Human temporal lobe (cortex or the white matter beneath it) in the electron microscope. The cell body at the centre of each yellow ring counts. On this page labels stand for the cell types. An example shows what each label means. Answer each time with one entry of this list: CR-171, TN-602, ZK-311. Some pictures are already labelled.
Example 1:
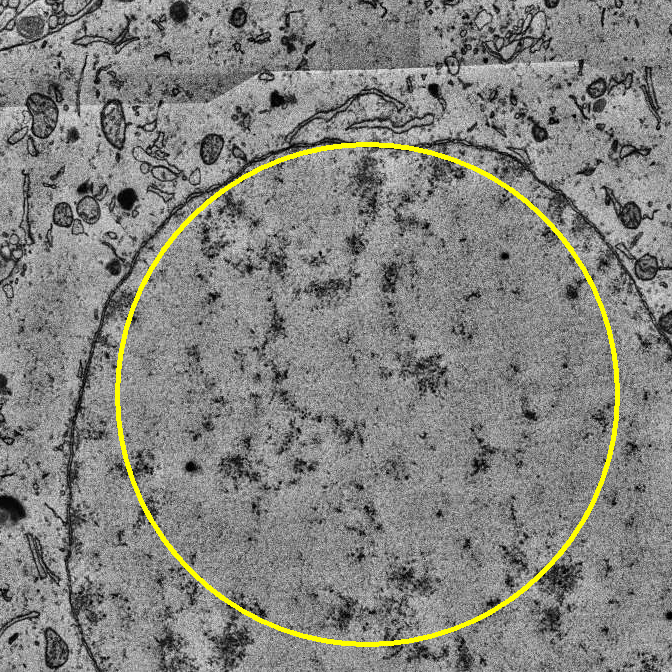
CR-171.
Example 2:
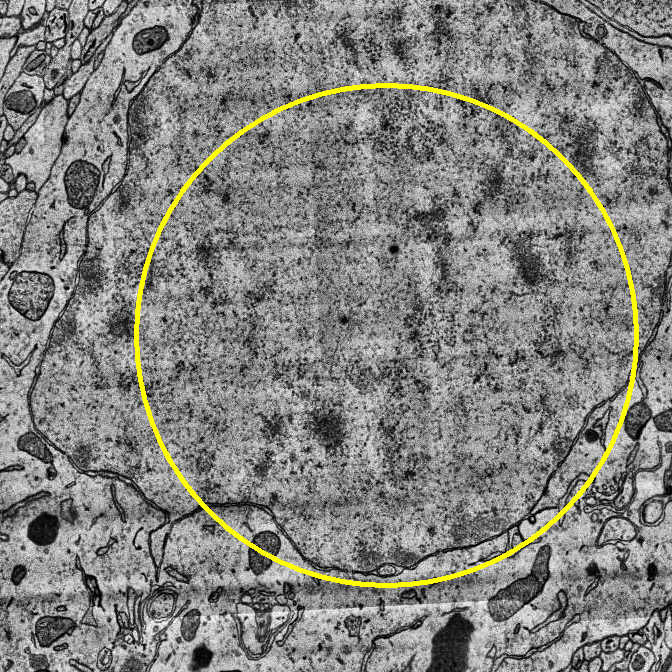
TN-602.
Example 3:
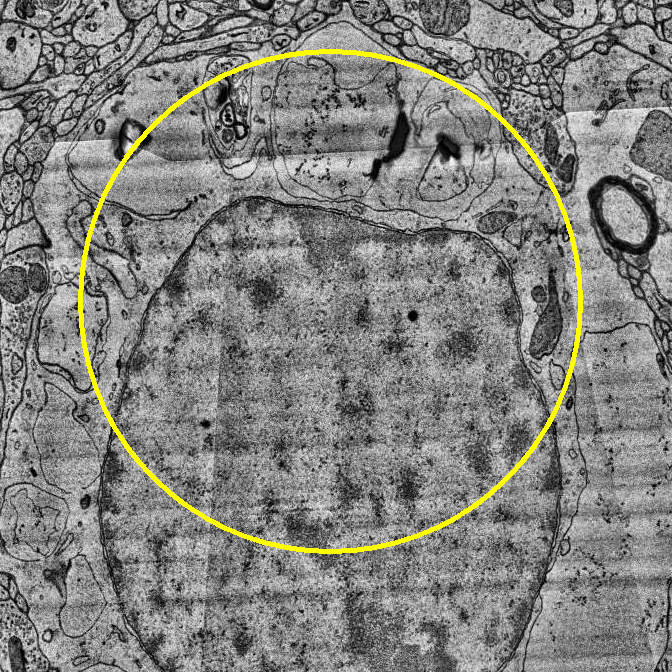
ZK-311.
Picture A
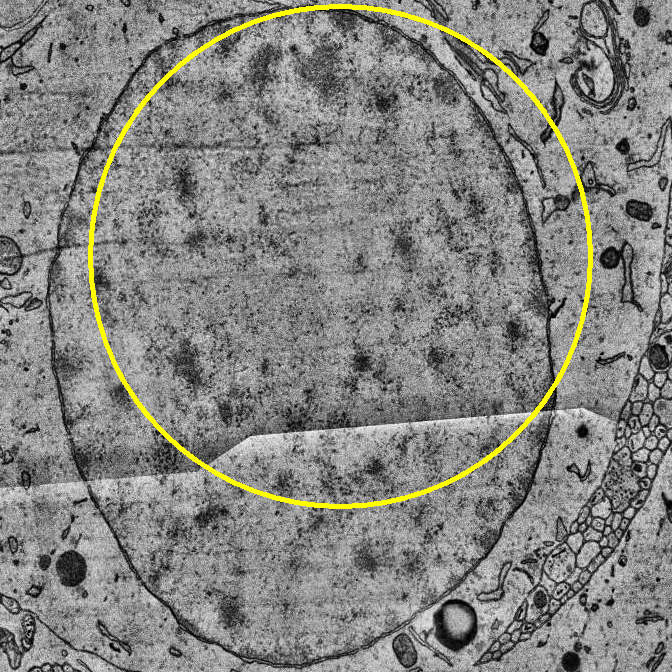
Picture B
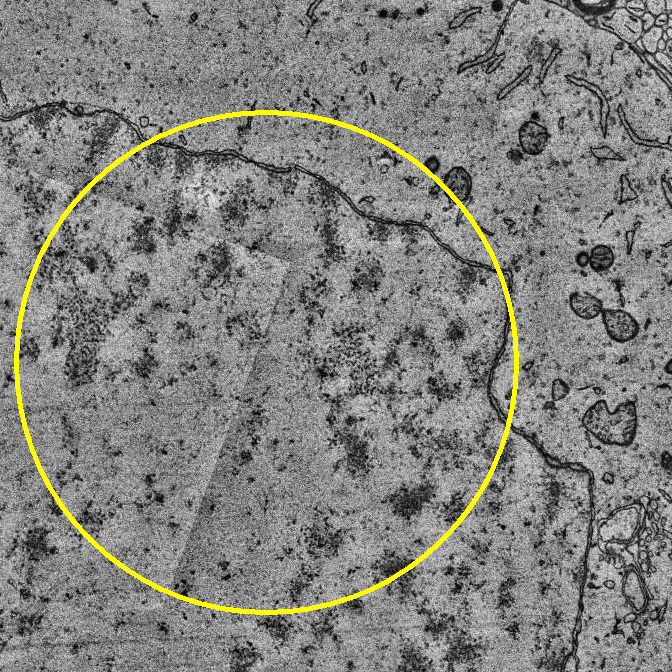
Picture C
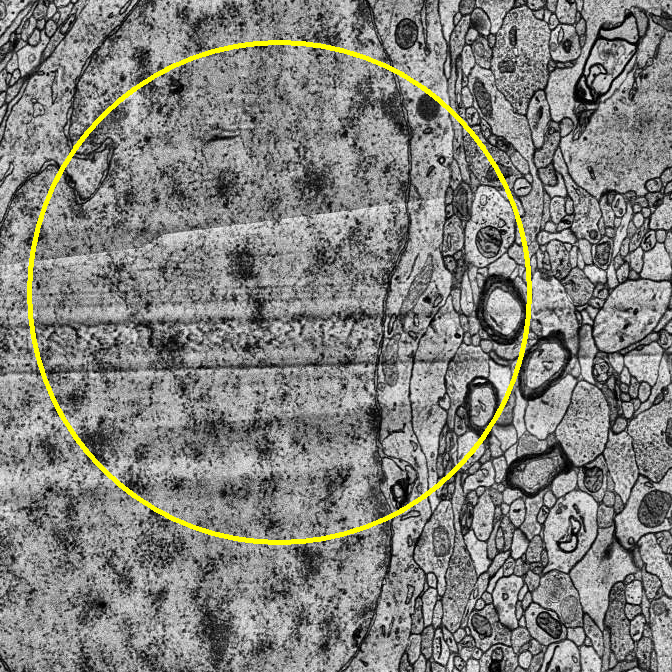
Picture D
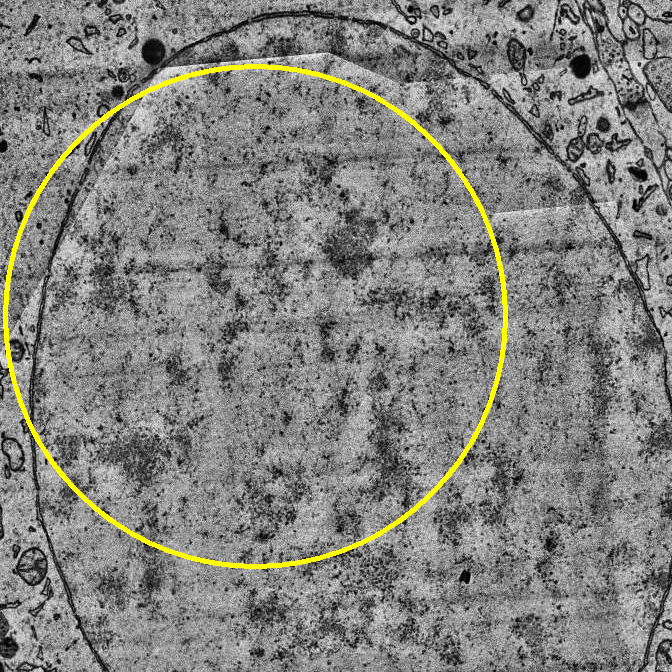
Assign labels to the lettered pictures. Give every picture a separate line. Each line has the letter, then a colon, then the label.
A: CR-171.
B: CR-171.
C: TN-602.
D: CR-171.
